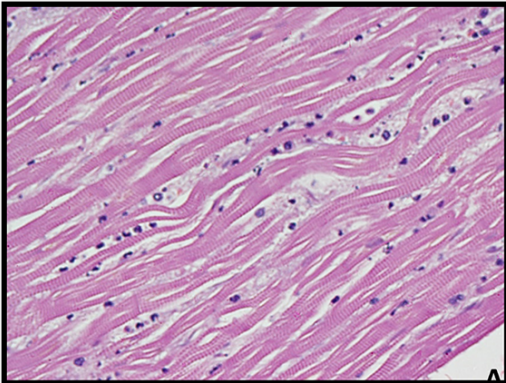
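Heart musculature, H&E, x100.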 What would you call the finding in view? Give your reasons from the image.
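Elongated pink muscle fibres run in undulating, wavy lines. Cross-striations are visible along the fibres. Narrow clear spaces separate the wavy fibres.
Waviness of the necrosed myocytes.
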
